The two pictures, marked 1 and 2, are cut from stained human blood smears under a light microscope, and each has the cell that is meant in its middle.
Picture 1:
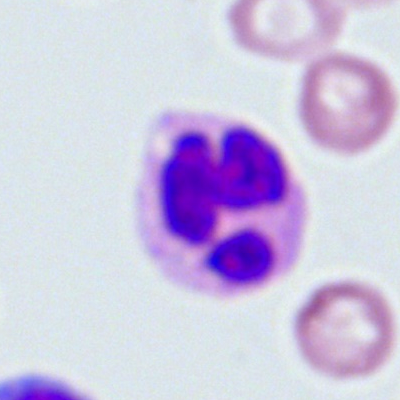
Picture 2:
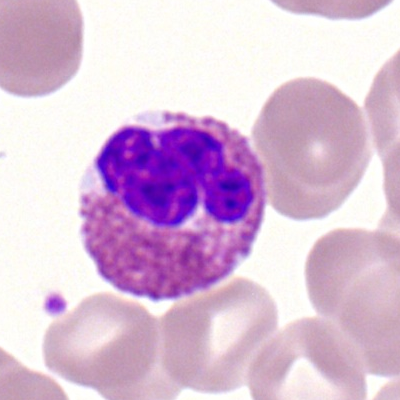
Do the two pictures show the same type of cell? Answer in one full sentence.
No. Picture 1 shows a segmented neutrophil, but picture 2 shows an eosinophil.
